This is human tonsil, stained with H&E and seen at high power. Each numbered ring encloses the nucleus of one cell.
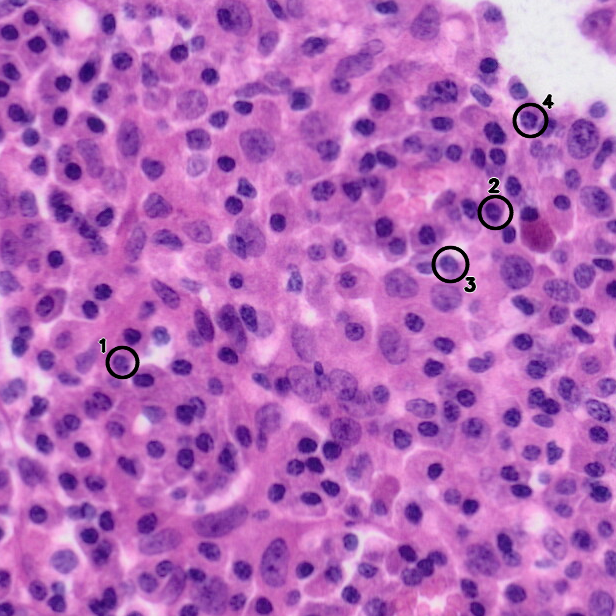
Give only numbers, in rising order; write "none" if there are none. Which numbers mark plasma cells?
1, 2, 4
